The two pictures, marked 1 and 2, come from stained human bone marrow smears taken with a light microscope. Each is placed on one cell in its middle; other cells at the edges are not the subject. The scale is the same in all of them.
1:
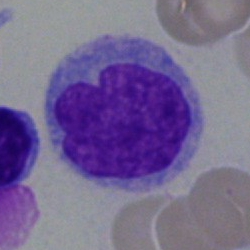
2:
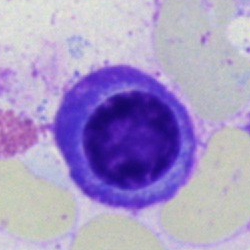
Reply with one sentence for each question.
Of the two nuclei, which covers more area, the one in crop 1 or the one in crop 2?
Larger is the nucleus in crop 1, at roughly 1.5 times the area of the other.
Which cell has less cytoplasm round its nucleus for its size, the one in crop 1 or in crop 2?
The nucleus fills more of the cell in crop 1 than in crop 2.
